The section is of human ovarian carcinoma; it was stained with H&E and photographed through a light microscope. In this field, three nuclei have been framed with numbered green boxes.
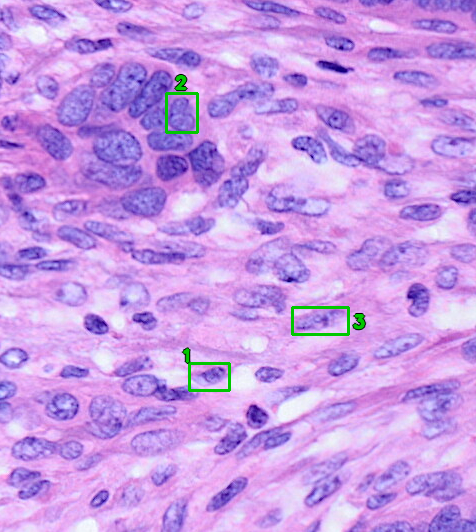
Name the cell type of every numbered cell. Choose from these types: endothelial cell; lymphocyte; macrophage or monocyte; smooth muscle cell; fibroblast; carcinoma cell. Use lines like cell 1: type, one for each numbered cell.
cell 1: fibroblast
cell 2: carcinoma cell
cell 3: fibroblast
